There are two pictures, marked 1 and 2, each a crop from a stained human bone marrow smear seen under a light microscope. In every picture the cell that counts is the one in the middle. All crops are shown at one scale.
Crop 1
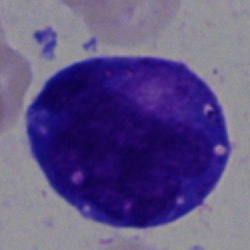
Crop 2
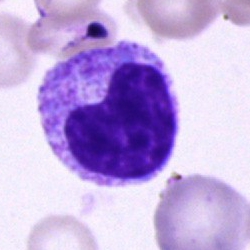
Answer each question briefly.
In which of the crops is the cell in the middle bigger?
1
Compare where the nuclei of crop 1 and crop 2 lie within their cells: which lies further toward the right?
2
